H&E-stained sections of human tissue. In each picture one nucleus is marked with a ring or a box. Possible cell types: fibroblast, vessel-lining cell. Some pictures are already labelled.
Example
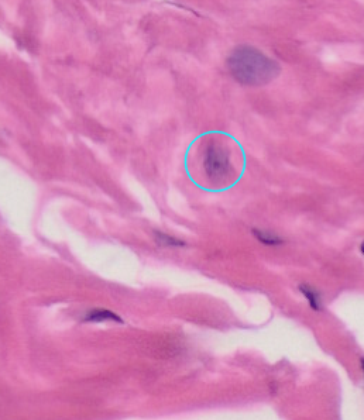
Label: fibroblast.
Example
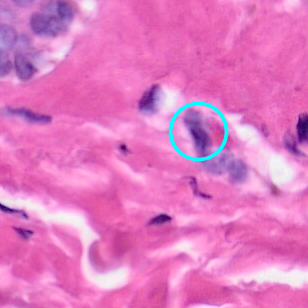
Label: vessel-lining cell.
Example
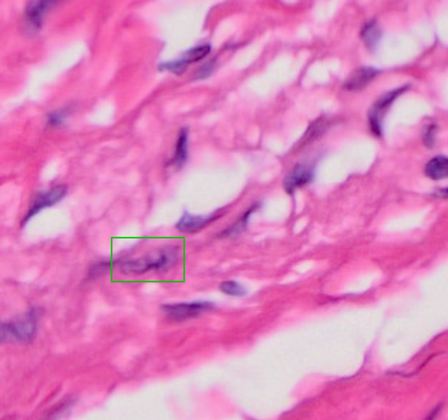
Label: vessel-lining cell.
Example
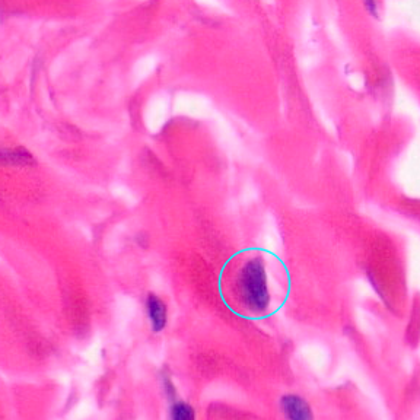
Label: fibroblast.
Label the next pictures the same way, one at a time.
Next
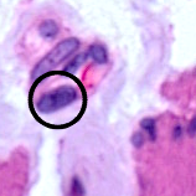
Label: vessel-lining cell.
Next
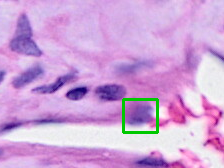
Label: vessel-lining cell.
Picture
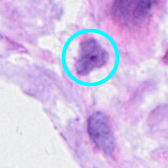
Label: fibroblast.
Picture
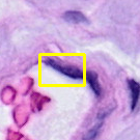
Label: vessel-lining cell.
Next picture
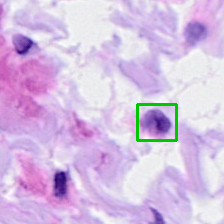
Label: fibroblast.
